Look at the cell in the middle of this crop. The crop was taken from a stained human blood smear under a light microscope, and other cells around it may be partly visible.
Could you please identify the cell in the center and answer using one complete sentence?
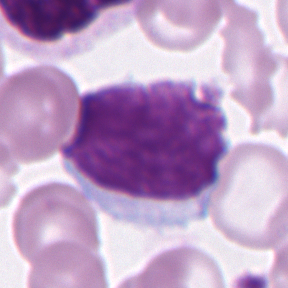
The centrally placed cell is classified as a typical lymphocyte.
